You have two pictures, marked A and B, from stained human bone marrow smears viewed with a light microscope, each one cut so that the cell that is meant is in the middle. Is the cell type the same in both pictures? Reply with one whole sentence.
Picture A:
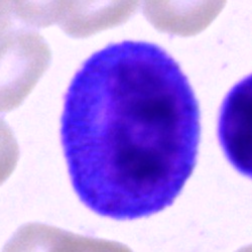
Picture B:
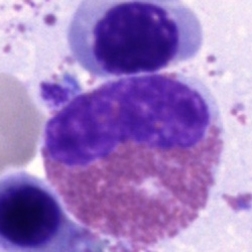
No; the cell in picture A is a promyelocyte, while the one in picture B is an eosinophil.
